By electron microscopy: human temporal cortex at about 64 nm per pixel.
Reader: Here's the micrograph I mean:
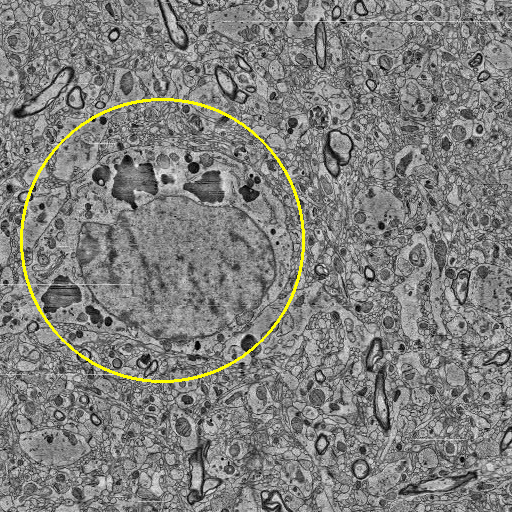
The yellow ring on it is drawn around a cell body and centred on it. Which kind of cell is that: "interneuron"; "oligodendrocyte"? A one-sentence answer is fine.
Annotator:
The ring is centred on an interneuron.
